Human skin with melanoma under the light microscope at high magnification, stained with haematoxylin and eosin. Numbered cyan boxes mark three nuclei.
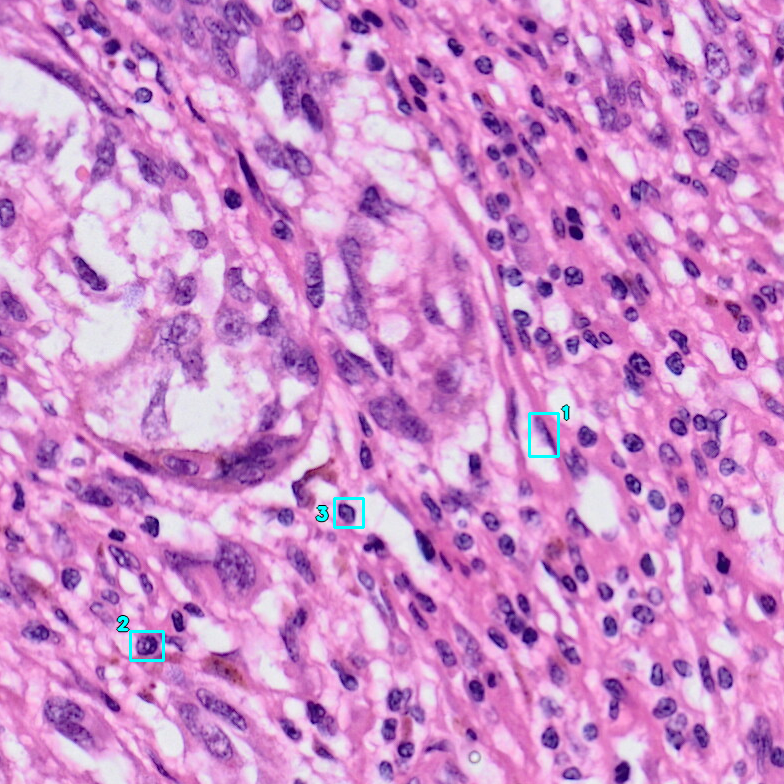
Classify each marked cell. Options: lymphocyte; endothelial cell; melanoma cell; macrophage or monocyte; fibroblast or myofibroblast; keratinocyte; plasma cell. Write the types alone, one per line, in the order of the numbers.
endothelial cell
plasma cell
lymphocyte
